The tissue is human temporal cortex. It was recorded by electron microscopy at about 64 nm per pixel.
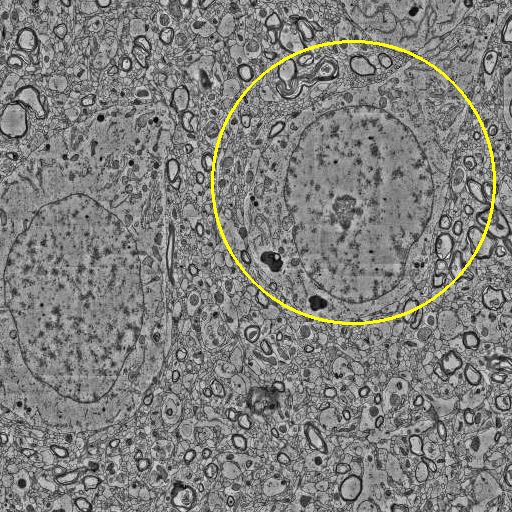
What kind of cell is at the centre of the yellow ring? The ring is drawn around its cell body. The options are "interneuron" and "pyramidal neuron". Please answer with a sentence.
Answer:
The yellow ring marks the cell body of a pyramidal neuron.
